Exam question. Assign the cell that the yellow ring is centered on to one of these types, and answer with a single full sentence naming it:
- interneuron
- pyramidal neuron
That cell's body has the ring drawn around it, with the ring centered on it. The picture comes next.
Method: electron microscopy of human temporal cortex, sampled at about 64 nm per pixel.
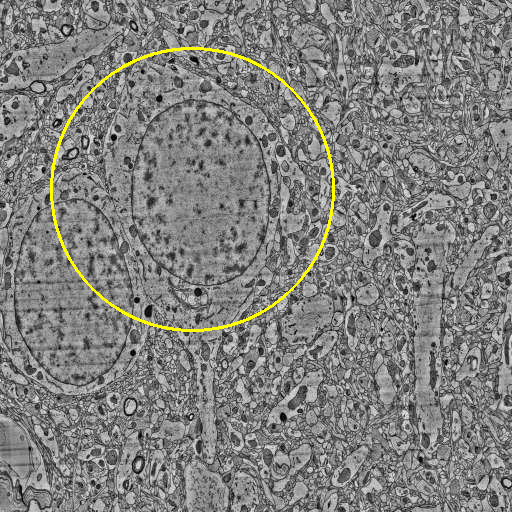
In the micrograph, the cell the yellow ring is centered on is a pyramidal neuron.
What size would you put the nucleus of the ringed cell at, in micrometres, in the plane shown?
In this plane the nucleus measures roughly 12 by 9 micrometers.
